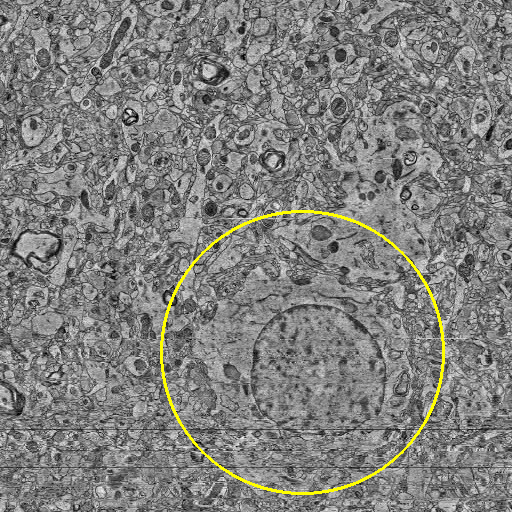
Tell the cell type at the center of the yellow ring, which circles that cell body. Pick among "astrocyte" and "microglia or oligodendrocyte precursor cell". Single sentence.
The ring is centered on the body of an astrocyte.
